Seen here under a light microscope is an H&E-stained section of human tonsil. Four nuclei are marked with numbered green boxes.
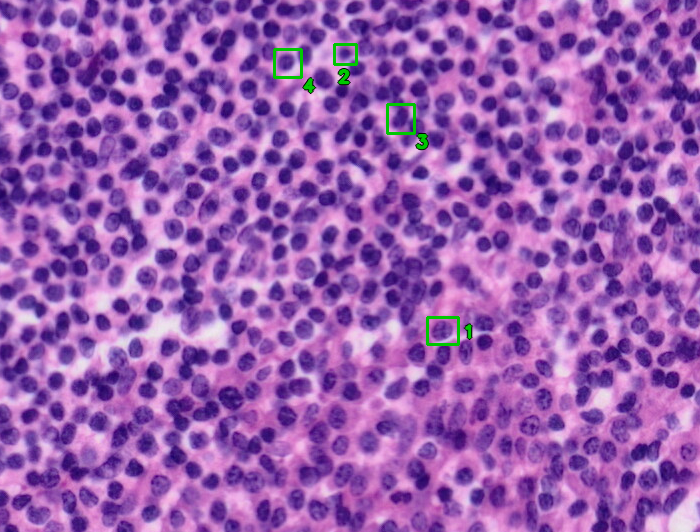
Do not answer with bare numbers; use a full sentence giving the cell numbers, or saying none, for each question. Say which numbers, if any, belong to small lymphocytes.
Within the section, cells numbered 2, 3 and 4 are small lymphocytes.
